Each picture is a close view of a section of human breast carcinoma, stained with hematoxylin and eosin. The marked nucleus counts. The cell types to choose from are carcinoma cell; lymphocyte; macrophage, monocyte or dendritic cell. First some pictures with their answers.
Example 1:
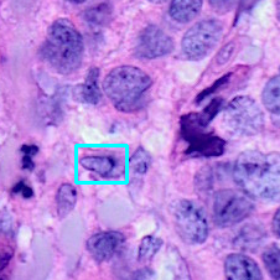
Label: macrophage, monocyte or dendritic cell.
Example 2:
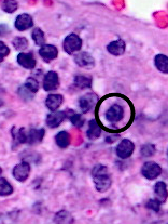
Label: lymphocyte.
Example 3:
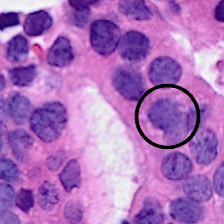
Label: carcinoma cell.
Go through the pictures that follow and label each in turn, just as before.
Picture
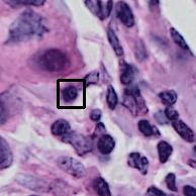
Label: lymphocyte.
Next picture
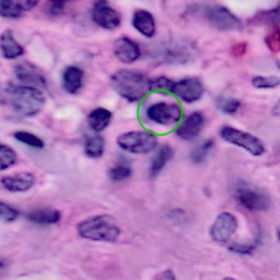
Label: lymphocyte.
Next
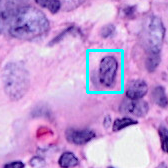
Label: macrophage, monocyte or dendritic cell.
